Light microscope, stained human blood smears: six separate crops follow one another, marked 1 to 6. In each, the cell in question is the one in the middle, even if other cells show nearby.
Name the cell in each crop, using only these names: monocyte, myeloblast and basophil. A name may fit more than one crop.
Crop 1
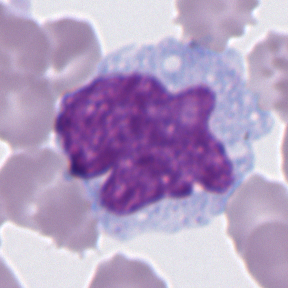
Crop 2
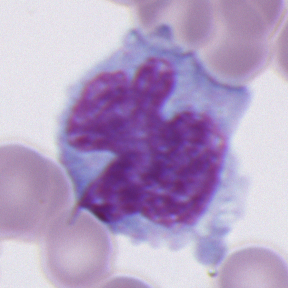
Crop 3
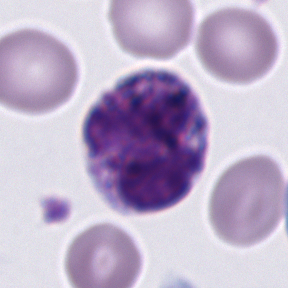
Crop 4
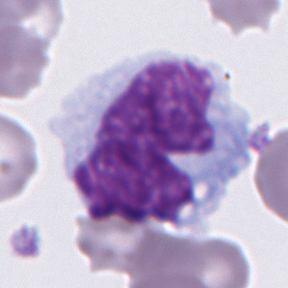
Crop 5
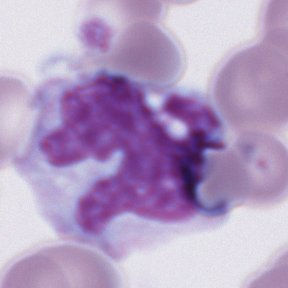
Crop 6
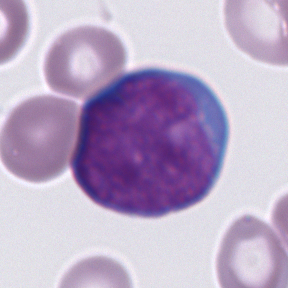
1: monocyte
2: monocyte
3: basophil
4: monocyte
5: monocyte
6: myeloblast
